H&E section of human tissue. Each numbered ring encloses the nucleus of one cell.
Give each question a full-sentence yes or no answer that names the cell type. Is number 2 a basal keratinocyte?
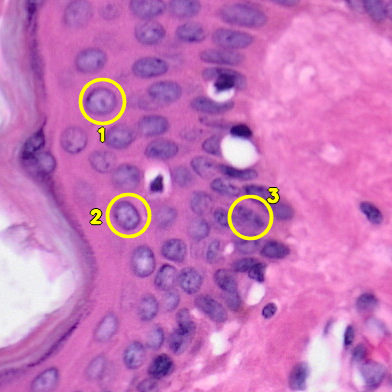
No, with respect, cell 2 is a suprabasal keratinocyte rather than a basal keratinocyte.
